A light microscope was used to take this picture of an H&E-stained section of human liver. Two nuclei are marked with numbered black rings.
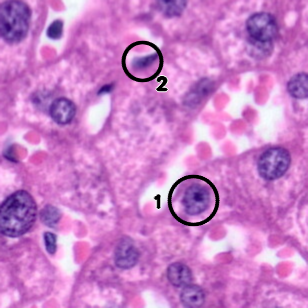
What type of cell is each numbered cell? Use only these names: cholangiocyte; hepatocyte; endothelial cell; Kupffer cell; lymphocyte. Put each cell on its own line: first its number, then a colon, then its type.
1: hepatocyte
2: endothelial cell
